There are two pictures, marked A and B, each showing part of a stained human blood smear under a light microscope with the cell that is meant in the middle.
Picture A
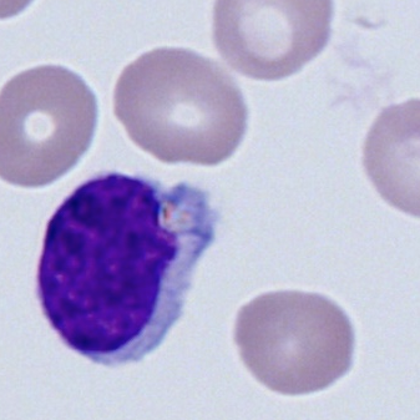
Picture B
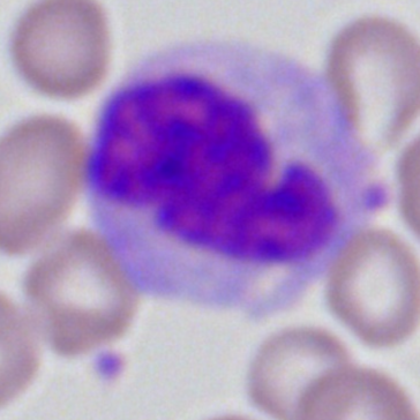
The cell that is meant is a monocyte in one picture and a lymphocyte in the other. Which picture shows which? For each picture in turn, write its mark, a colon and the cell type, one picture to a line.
A: lymphocyte
B: monocyte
